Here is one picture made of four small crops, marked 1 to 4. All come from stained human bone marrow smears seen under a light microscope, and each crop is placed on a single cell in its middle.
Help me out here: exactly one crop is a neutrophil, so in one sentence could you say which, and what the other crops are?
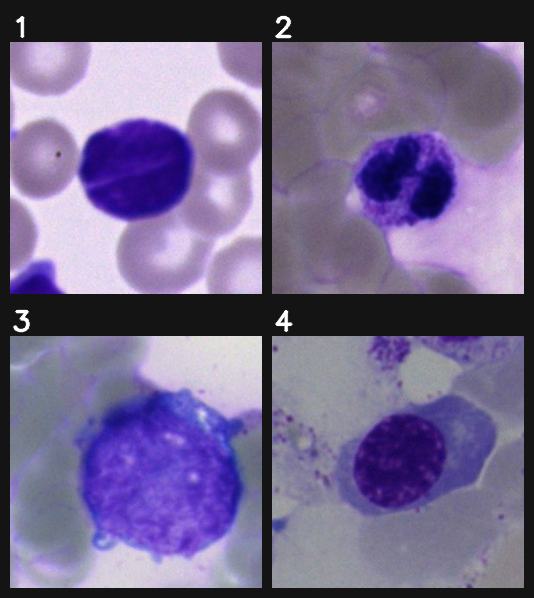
Crop 2 shows a neutrophil in its middle, while crop 1 is a lymphocyte, crop 3 is a blast and crop 4 is a normoblast.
